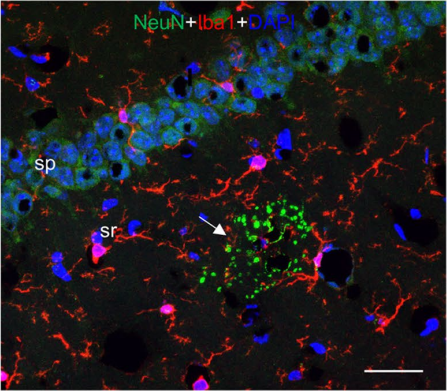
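Here is the hippocampus again, with the band of rounded, closely packed neuronal nuclei in blue running diagonally across the upper part and the looser layer below it. Small red cells with thin, finely branched processes are spread sparsely through the tissue; these are microglia, with slender bodies and delicate ramifications rather than the bushier star shape of astrocytes. Below the cell band, a cluster of bright green dots of varying size forms a rounded patch, and a few red microglial cells and processes lie at its edge, close to the cluster.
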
